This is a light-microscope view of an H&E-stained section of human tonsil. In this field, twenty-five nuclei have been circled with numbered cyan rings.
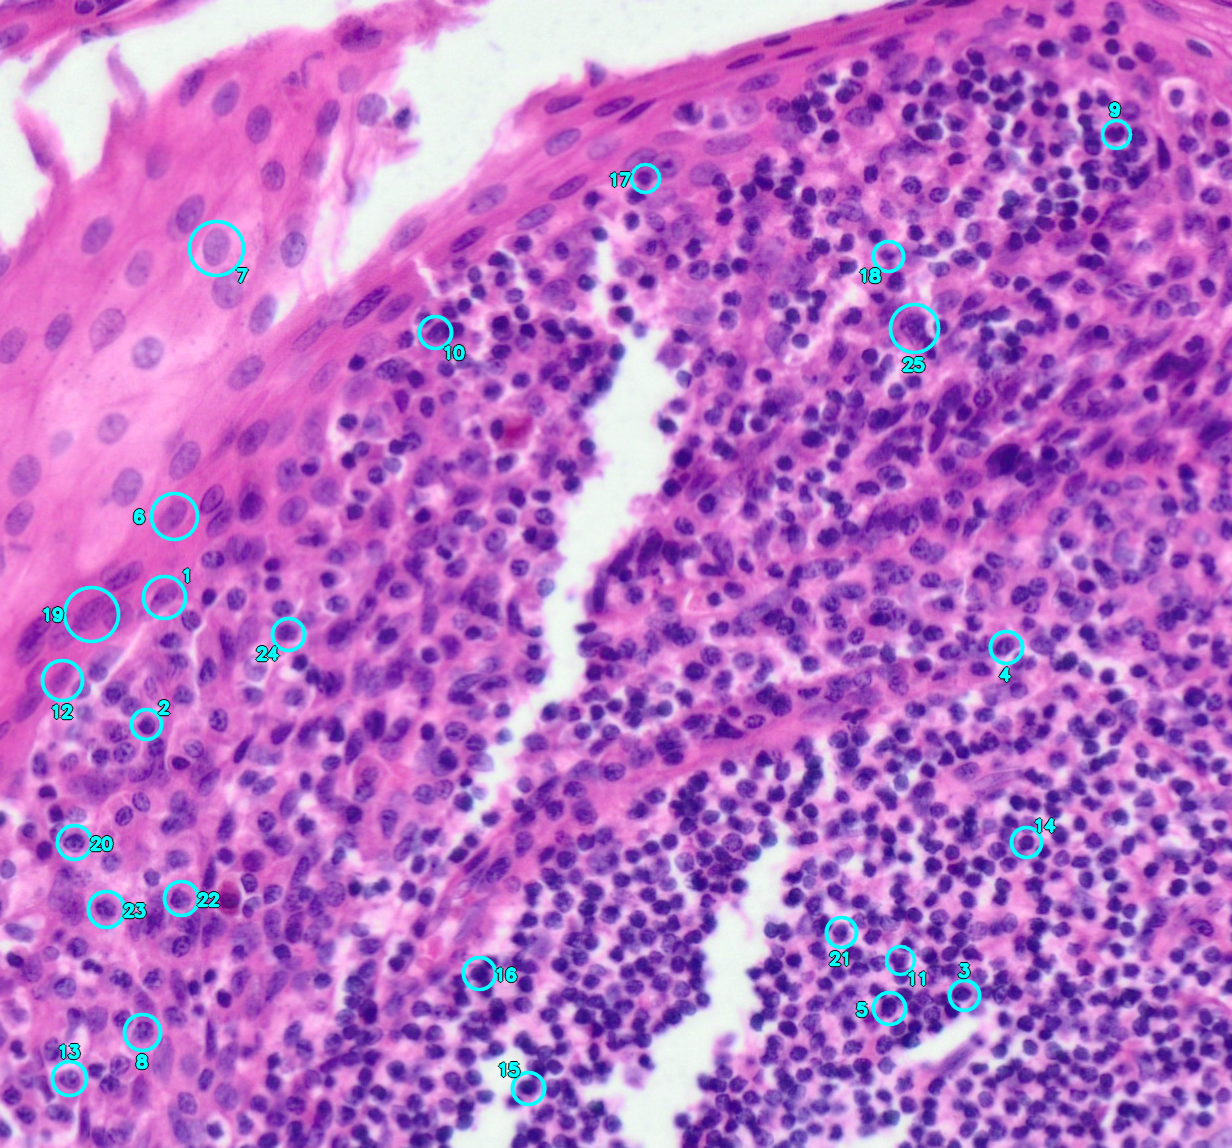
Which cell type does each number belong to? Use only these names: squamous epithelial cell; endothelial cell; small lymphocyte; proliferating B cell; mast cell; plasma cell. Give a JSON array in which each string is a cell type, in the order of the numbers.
["squamous epithelial cell", "plasma cell", "small lymphocyte", "plasma cell", "small lymphocyte", "squamous epithelial cell", "squamous epithelial cell", "plasma cell", "plasma cell", "plasma cell", "small lymphocyte", "squamous epithelial cell", "plasma cell", "small lymphocyte", "small lymphocyte", "small lymphocyte", "squamous epithelial cell", "squamous epithelial cell", "squamous epithelial cell", "plasma cell", "small lymphocyte", "plasma cell", "plasma cell", "plasma cell", "squamous epithelial cell"]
